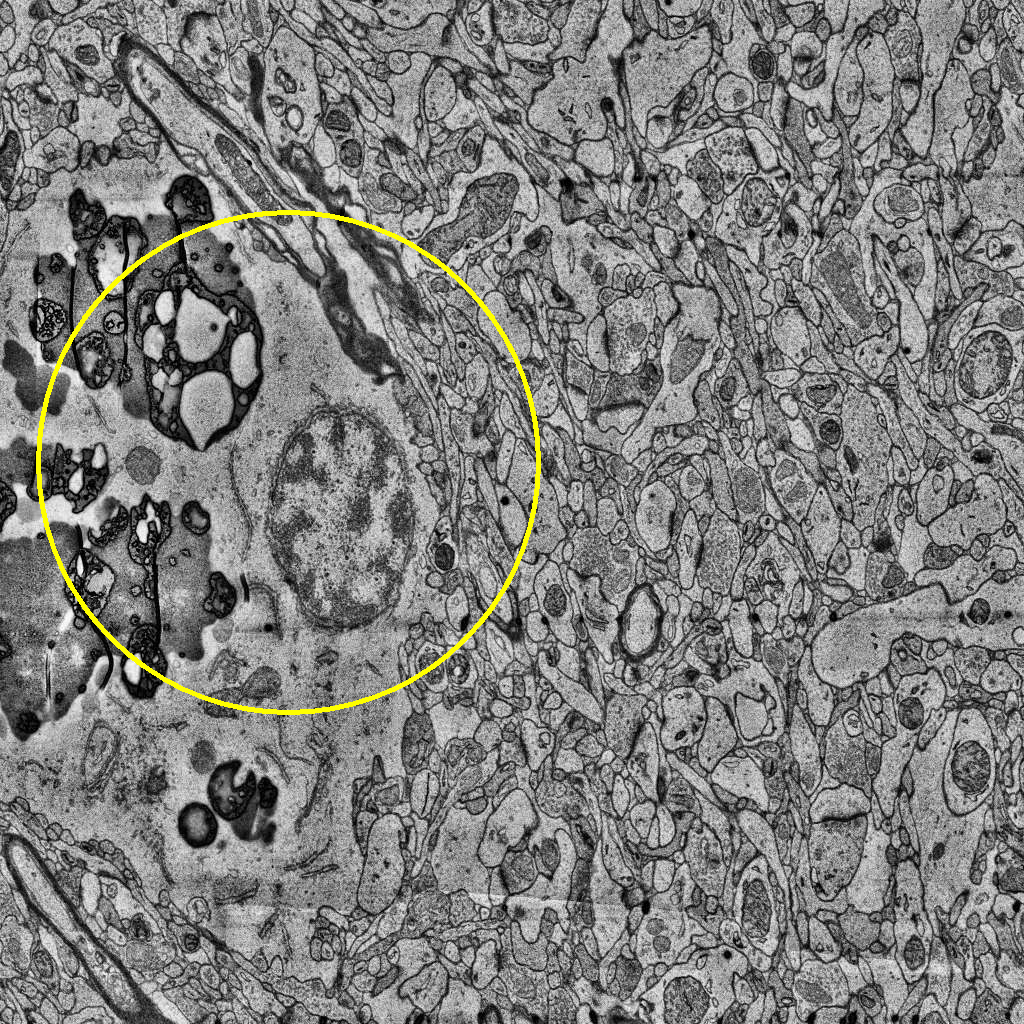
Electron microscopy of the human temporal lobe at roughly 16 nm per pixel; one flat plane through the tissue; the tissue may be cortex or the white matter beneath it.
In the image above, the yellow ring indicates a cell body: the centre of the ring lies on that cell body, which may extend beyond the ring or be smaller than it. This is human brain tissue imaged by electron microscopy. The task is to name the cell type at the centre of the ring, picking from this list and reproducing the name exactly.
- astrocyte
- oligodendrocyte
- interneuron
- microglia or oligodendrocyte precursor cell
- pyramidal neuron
astrocyte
